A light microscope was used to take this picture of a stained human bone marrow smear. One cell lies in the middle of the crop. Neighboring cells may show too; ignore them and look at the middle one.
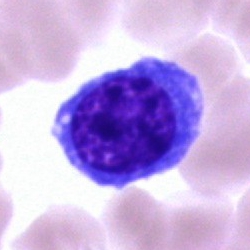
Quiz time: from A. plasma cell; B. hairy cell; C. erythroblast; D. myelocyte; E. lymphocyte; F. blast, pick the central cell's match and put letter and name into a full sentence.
Well, the cell in the middle is an erythroblast, making option C right.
